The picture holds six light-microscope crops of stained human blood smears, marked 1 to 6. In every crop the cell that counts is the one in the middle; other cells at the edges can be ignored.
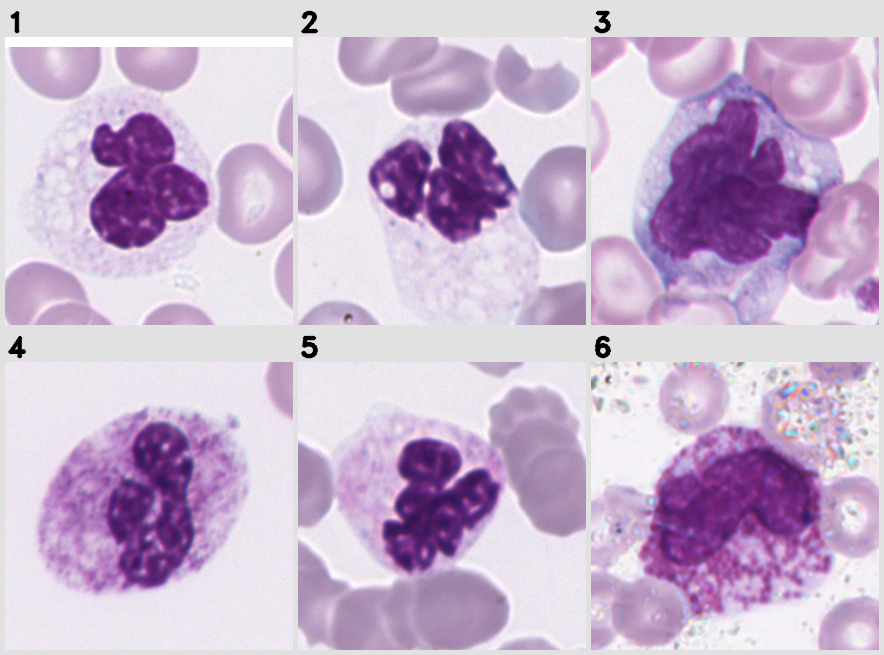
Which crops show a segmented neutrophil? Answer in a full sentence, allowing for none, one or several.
Crops 1, 2, 4 and 5 feature segmented neutrophils as the cells at their centres.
